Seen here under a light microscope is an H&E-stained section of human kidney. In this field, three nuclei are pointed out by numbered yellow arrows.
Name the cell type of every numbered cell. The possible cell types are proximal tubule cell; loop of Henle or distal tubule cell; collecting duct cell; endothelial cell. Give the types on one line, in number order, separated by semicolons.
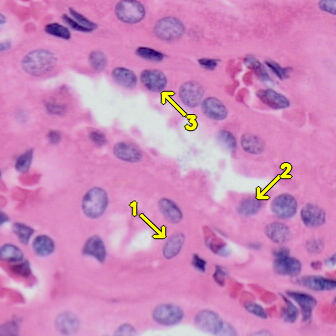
proximal tubule cell; loop of Henle or distal tubule cell; loop of Henle or distal tubule cell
